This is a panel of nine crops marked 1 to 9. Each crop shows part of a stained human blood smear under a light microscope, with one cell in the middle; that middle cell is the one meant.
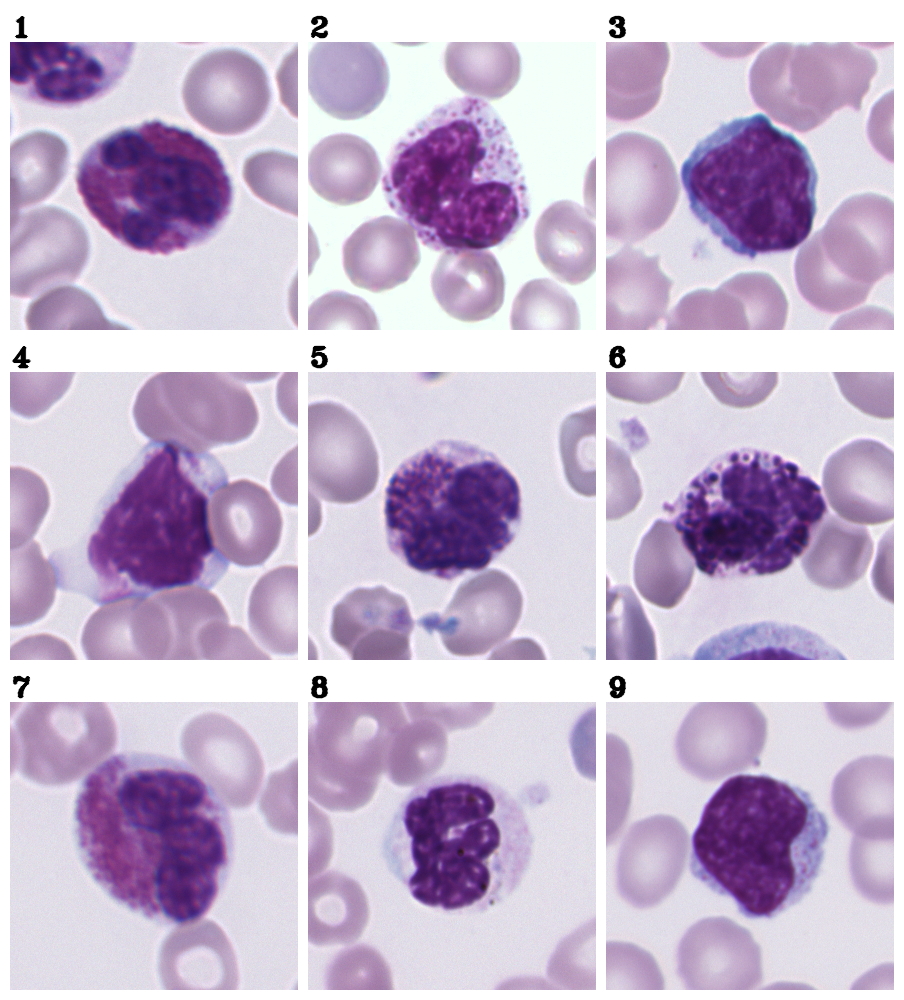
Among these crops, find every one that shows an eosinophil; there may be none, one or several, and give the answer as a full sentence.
Found at the centre of crops 1 and 7 are eosinophils.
